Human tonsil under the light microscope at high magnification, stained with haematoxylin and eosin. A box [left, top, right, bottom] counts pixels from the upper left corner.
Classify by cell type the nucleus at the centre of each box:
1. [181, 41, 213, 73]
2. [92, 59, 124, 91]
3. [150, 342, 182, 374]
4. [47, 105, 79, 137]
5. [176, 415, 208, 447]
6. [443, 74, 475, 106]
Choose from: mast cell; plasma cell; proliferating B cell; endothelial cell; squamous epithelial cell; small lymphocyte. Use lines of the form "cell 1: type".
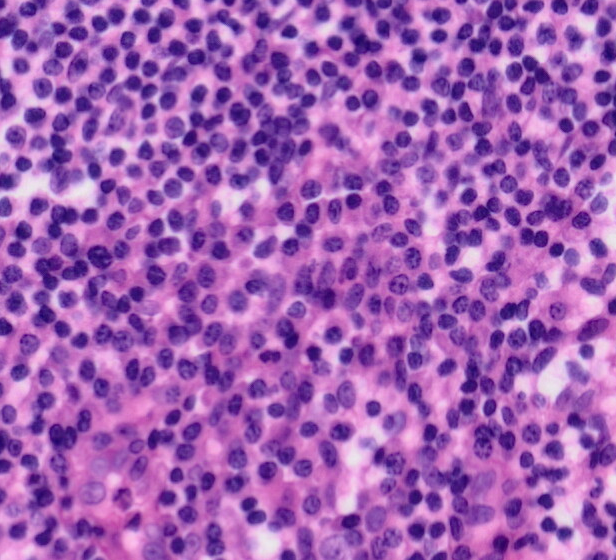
cell 1: small lymphocyte
cell 2: small lymphocyte
cell 3: plasma cell
cell 4: small lymphocyte
cell 5: plasma cell
cell 6: small lymphocyte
